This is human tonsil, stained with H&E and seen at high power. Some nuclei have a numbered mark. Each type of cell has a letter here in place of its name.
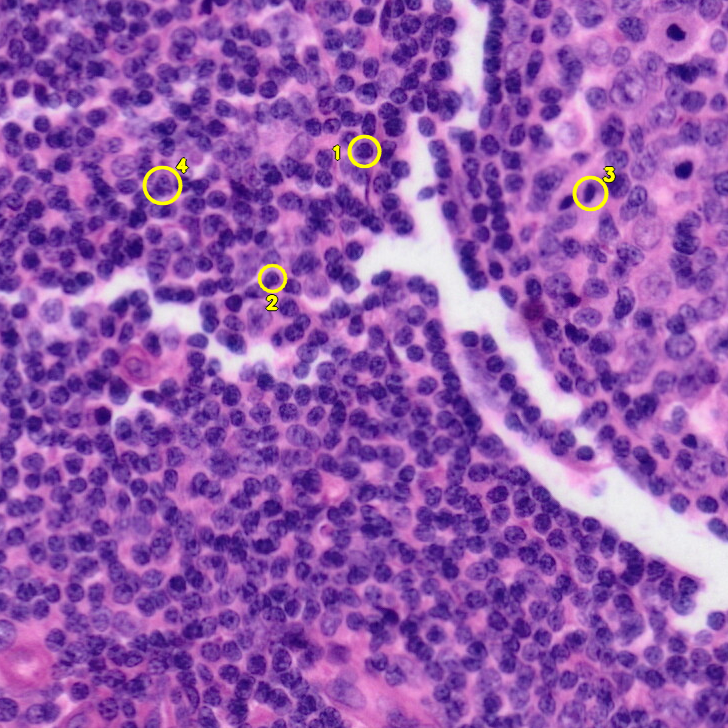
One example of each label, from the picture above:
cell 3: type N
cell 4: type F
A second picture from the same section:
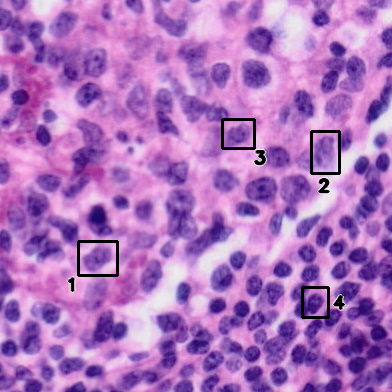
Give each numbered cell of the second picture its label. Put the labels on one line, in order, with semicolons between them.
type N; type N; type N; type F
